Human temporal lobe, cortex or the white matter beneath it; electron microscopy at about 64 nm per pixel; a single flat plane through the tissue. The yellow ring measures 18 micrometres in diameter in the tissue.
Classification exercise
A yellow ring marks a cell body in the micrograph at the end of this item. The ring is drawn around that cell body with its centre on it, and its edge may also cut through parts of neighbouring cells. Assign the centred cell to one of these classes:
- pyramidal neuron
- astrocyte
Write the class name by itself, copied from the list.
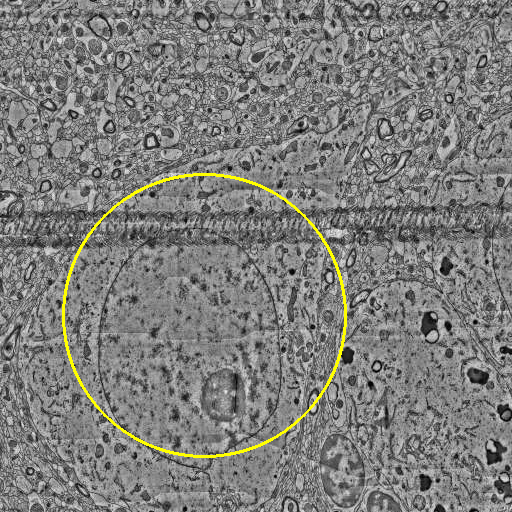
pyramidal neuron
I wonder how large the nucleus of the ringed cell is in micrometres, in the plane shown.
In this plane the nucleus spans approximately 15 by 12 micrometers.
